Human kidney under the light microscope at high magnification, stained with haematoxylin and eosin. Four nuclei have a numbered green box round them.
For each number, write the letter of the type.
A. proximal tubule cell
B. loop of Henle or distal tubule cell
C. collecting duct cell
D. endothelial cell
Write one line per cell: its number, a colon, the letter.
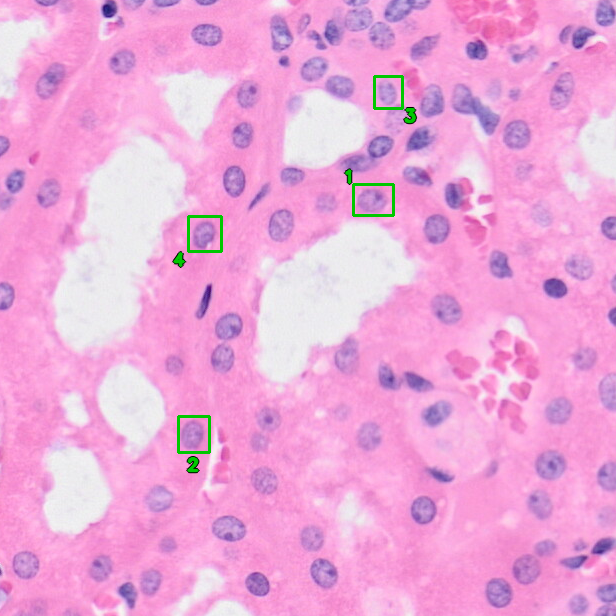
1: A
2: A
3: C
4: A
